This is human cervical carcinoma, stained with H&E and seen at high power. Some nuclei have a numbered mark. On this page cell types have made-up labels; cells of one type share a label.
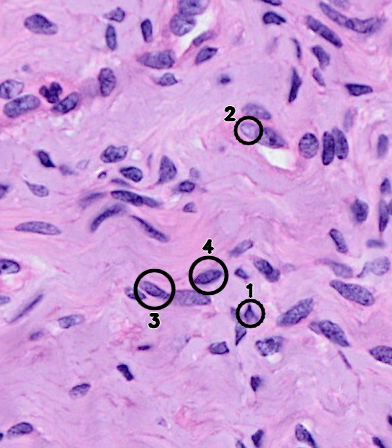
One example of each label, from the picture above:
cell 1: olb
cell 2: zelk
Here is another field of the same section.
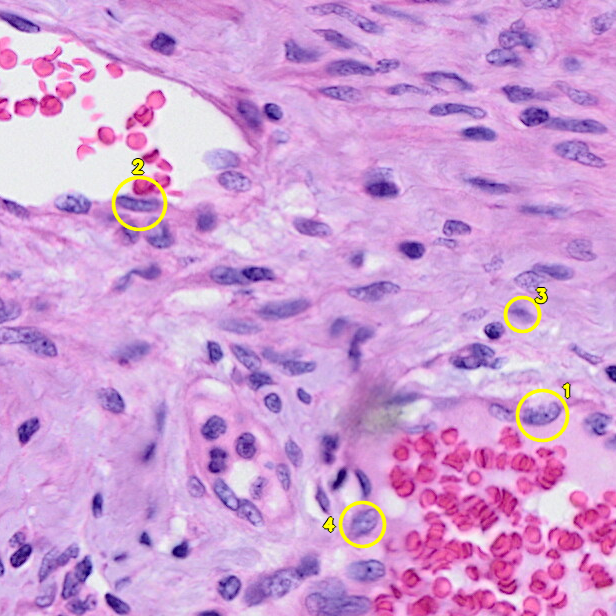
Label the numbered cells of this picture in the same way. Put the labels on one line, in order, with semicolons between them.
zelk; zelk; olb; zelk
